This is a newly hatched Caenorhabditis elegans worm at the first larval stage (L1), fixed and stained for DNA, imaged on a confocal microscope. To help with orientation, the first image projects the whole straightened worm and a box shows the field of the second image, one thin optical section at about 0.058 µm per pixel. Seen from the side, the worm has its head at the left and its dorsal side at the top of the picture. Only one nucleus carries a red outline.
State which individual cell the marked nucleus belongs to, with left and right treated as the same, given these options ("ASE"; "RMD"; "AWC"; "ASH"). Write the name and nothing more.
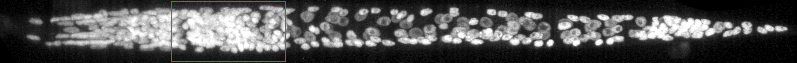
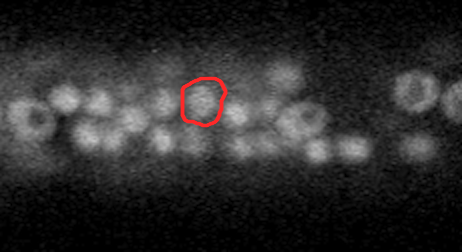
ASE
